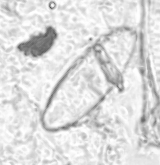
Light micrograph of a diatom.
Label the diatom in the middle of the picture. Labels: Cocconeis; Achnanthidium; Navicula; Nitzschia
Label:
Achnanthidium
